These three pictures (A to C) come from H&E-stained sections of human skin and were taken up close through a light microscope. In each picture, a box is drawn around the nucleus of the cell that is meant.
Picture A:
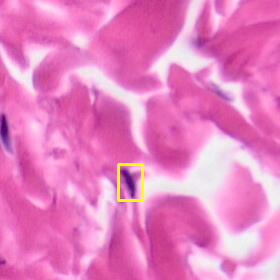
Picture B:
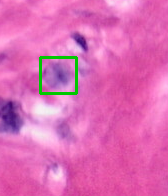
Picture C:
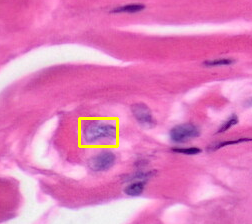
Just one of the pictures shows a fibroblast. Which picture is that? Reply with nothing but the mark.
A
